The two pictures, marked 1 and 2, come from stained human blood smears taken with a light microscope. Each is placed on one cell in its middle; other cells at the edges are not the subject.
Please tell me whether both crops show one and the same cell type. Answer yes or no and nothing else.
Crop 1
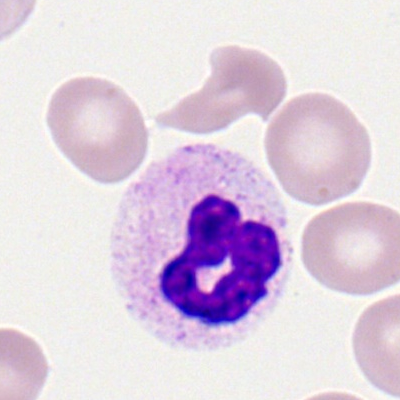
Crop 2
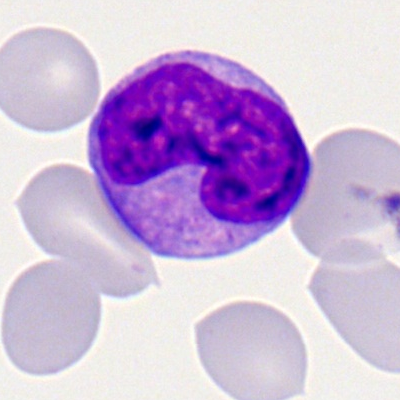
no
